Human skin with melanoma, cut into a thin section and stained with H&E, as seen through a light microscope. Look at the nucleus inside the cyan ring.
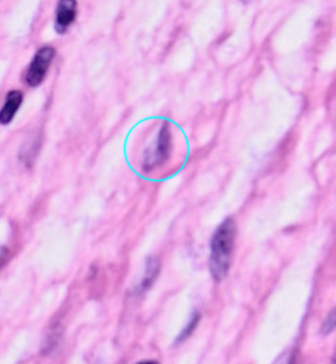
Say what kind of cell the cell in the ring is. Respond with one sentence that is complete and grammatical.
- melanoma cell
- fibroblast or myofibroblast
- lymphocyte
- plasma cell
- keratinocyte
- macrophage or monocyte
Placed in its cell category, the cell in the ring is a fibroblast or myofibroblast.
